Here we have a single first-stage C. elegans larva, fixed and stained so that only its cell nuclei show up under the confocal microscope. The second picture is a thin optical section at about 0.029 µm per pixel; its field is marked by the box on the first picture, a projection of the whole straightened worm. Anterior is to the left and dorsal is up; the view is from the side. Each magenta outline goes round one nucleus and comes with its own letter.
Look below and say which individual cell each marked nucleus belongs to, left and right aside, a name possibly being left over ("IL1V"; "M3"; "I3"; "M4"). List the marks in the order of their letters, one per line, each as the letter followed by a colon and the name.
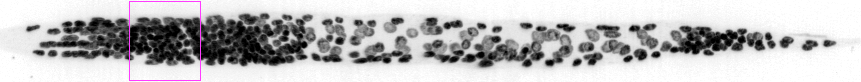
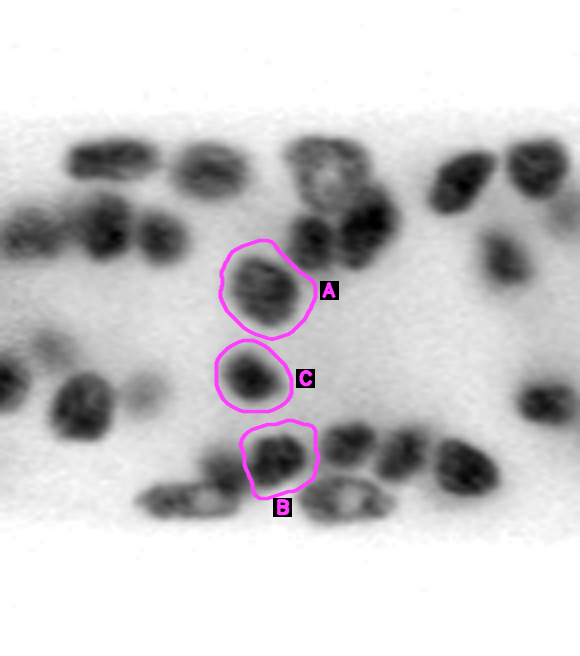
A: M4
B: IL1V
C: M3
